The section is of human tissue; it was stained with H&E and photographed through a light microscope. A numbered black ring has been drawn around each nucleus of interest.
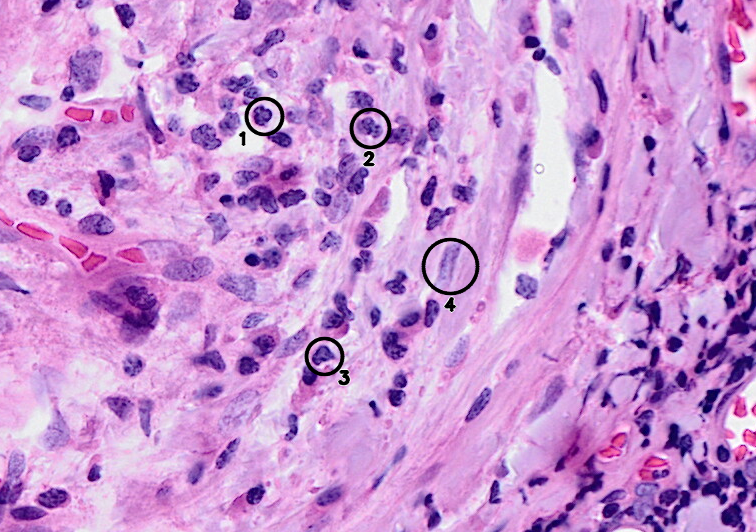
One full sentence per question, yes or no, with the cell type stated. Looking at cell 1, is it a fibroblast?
No, with respect, cell 1 is a lymphocyte rather than a fibroblast.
